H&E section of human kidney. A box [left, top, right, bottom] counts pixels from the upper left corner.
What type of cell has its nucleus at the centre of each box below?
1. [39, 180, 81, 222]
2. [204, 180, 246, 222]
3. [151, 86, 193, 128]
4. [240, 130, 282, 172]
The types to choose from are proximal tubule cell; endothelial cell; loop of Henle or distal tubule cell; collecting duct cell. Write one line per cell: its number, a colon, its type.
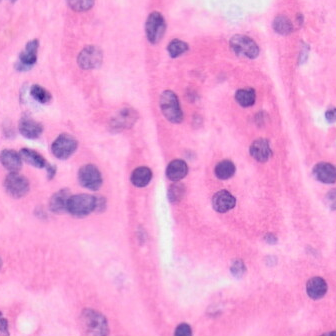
1: collecting duct cell
2: proximal tubule cell
3: proximal tubule cell
4: proximal tubule cell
